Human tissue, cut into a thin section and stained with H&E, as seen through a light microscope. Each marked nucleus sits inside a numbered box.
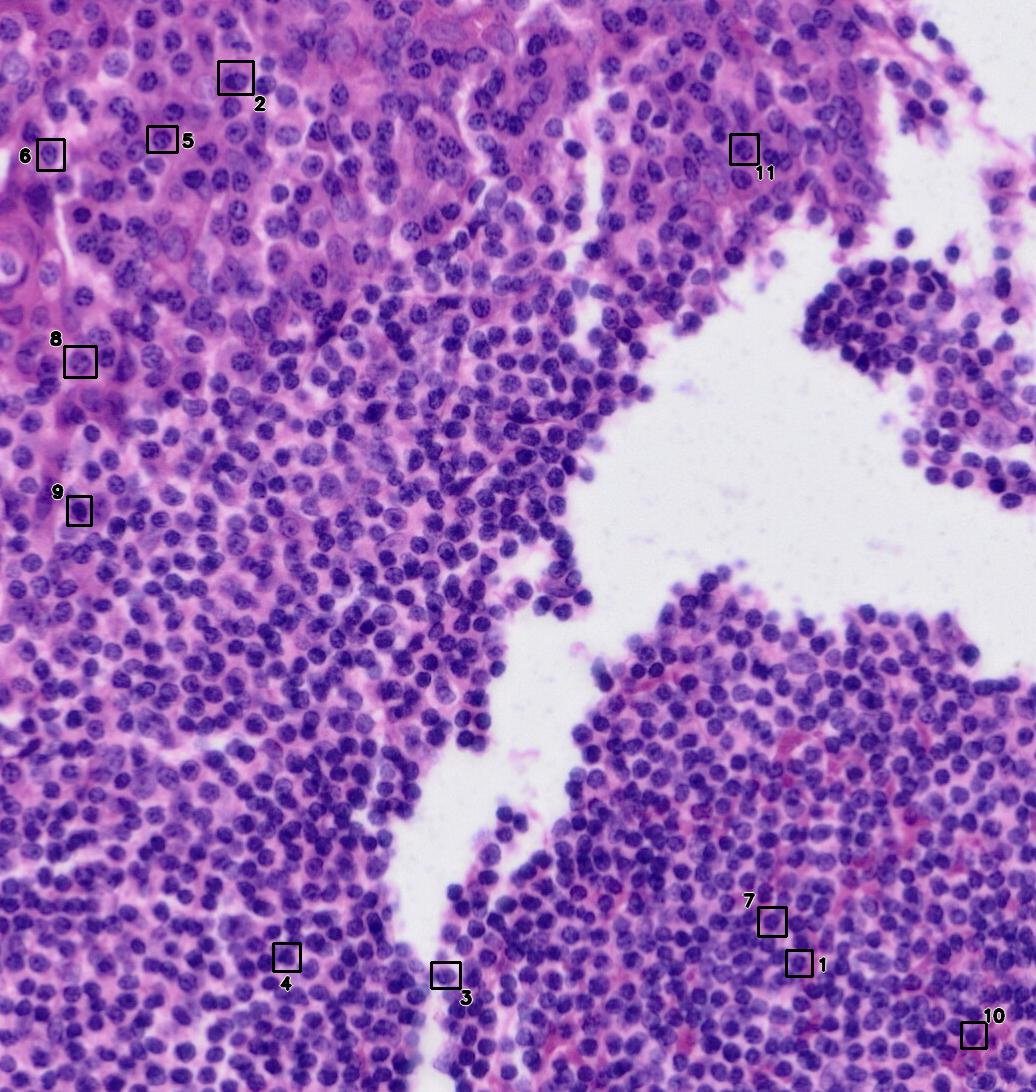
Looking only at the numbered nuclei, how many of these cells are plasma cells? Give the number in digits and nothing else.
6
